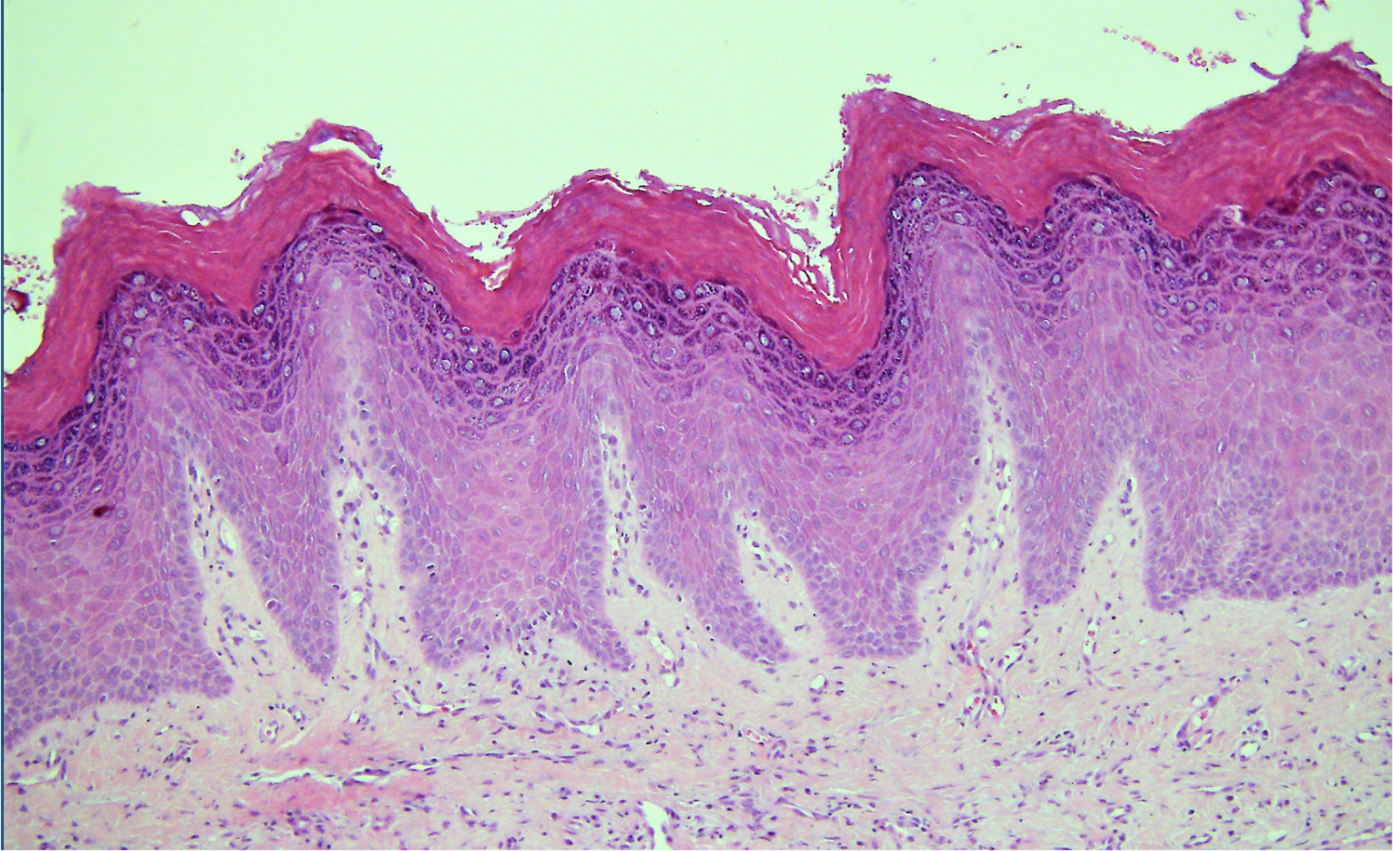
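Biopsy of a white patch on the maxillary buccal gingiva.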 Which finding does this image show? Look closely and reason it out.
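The epithelial surface rises into repeated pointed, wart-like peaks. A thick pink keratin layer follows the undulating peaks and troughs. Broad rete ridges project down between the peaks into the connective tissue.
Verruciform architecture.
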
